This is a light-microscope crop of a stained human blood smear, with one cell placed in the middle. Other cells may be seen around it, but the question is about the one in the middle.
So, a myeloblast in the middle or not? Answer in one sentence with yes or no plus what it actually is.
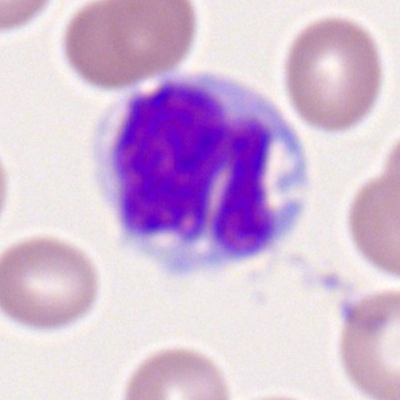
No, the middle of this crop is occupied by a monocyte rather than a myeloblast.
